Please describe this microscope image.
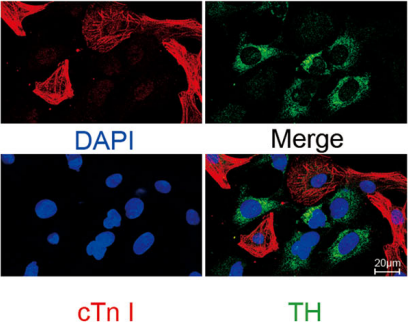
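The green cells are smaller and rounded to polygonal, with granular green cytoplasm arranged around a central oval nucleus and no striation. Red and green cells lie side by side in a loose monolayer and do not overlap in colour. Several blue nuclei belong to cells showing neither colour.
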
